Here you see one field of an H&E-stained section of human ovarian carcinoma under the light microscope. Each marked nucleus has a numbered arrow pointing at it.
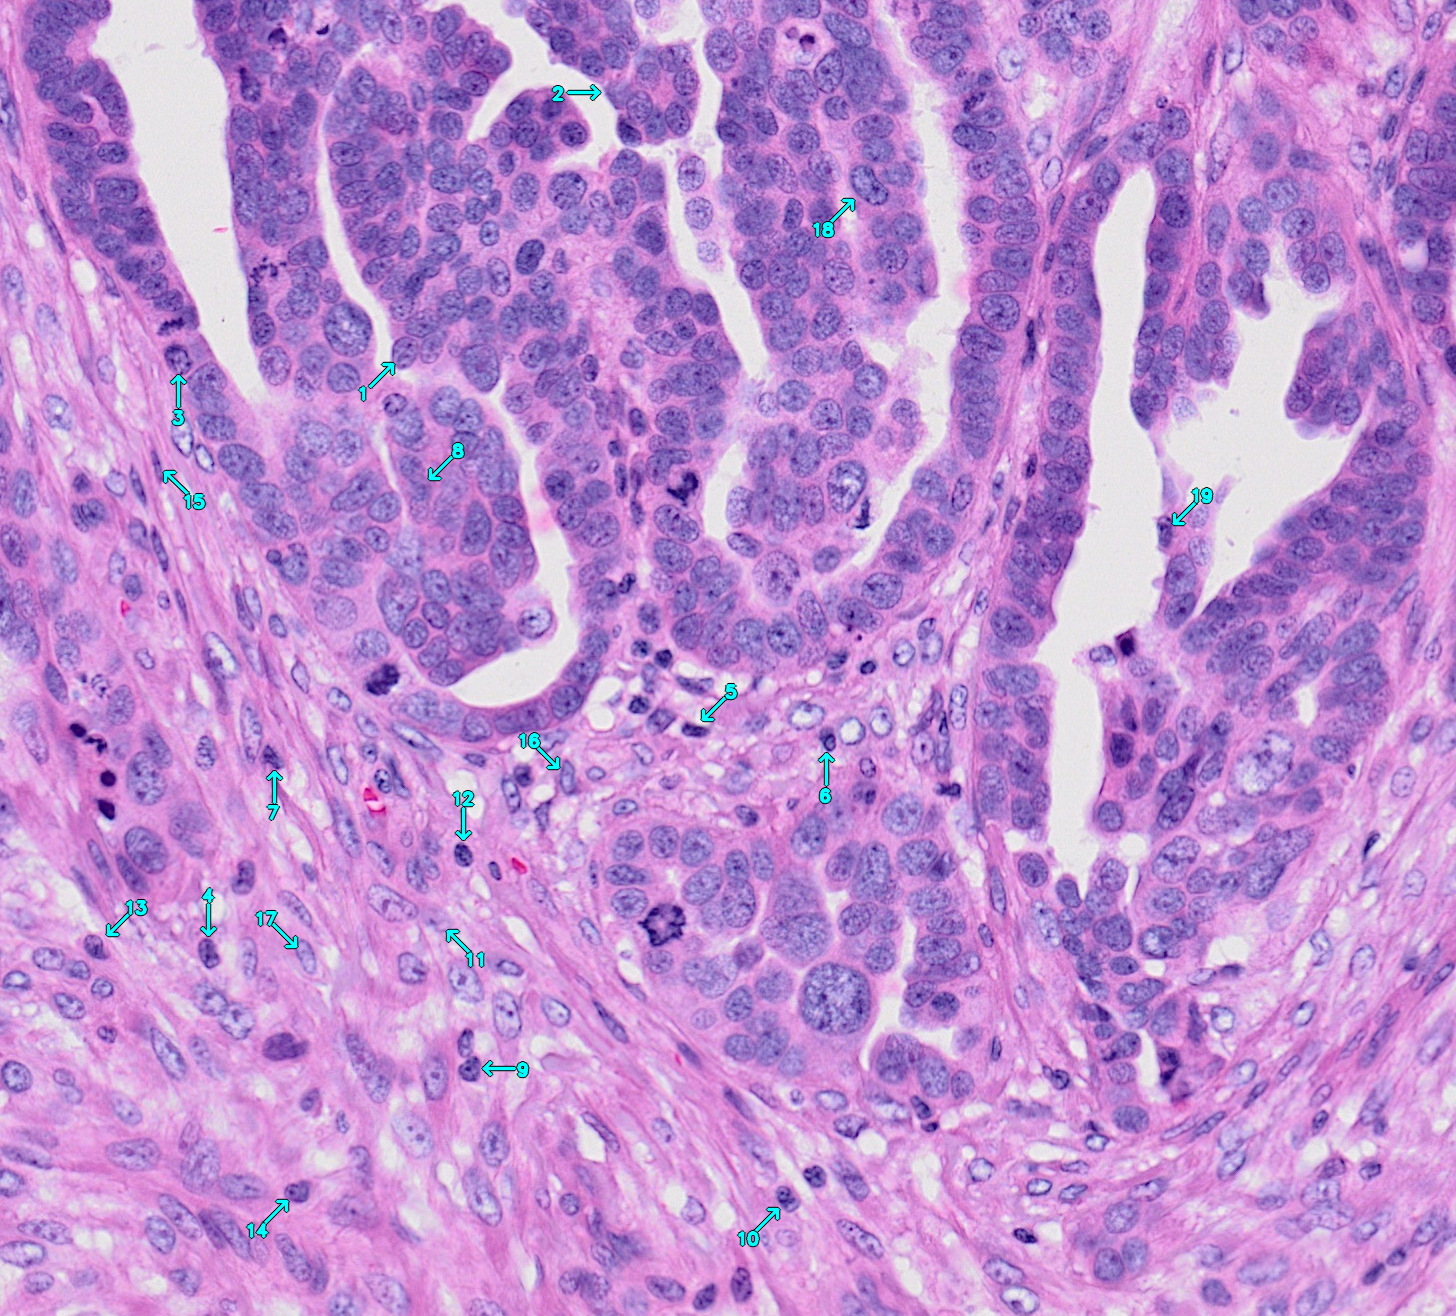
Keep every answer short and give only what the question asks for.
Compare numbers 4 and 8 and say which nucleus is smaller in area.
8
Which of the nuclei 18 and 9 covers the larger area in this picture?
18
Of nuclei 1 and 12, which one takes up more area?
1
